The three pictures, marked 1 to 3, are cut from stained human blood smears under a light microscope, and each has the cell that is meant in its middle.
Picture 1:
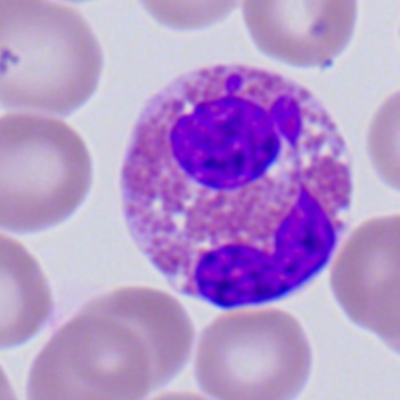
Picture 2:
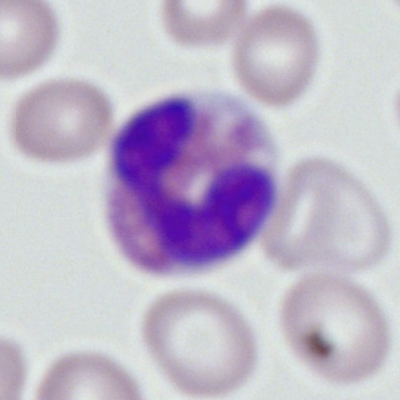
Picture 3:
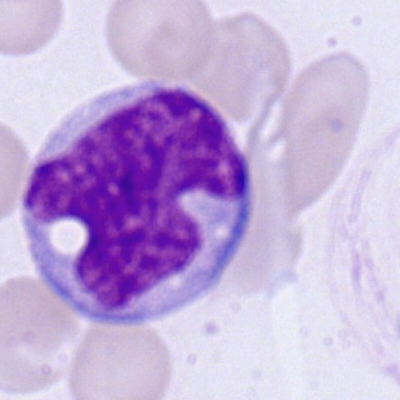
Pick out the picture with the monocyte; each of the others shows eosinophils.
3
